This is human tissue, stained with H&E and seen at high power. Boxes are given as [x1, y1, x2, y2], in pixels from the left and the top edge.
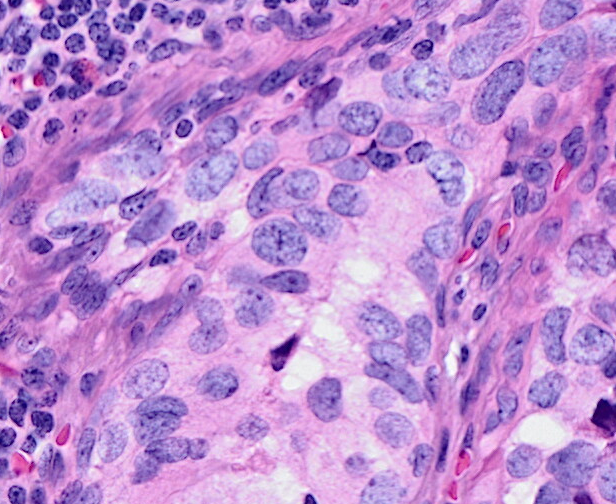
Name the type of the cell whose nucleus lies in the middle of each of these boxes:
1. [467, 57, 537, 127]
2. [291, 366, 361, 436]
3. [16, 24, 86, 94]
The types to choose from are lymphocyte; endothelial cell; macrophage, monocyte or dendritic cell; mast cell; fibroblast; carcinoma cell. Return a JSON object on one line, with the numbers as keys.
{"1": "carcinoma cell", "2": "carcinoma cell", "3": "lymphocyte"}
